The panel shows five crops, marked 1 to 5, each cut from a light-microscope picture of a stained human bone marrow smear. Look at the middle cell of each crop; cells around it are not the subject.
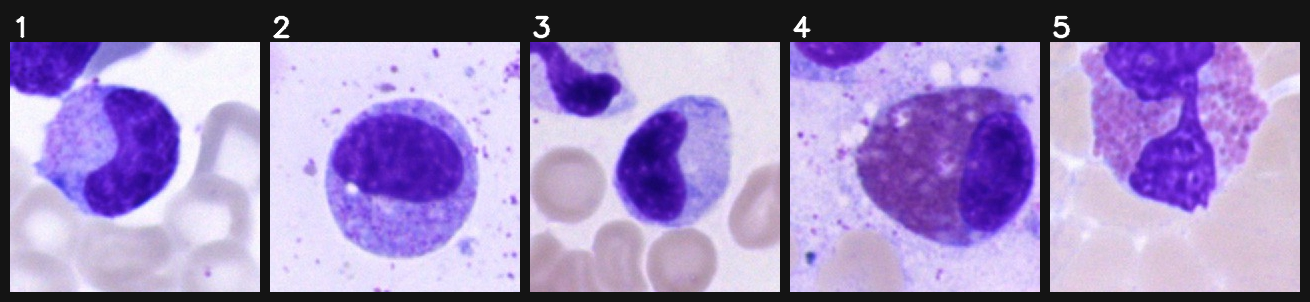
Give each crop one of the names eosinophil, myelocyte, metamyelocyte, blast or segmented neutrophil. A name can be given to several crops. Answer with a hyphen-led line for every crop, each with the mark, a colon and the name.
- 1: metamyelocyte
- 2: myelocyte
- 3: metamyelocyte
- 4: eosinophil
- 5: eosinophil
